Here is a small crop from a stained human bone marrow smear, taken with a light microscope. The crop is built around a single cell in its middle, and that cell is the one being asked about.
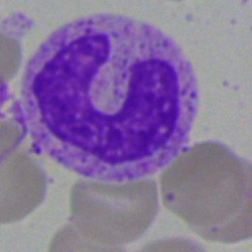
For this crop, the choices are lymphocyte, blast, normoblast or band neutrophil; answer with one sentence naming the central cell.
The middle of this crop is occupied by a band neutrophil.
